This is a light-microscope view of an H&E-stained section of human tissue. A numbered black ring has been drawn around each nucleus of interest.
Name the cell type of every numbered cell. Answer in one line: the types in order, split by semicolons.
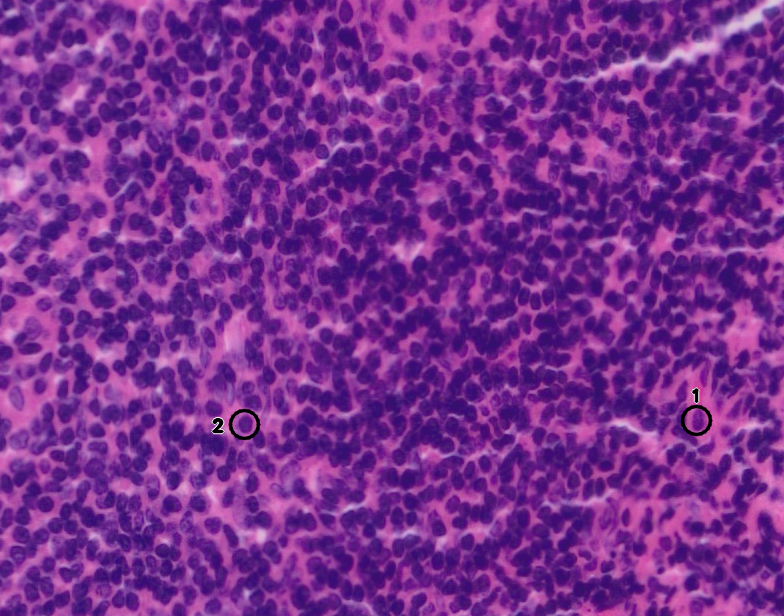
endothelial cell; small lymphocyte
